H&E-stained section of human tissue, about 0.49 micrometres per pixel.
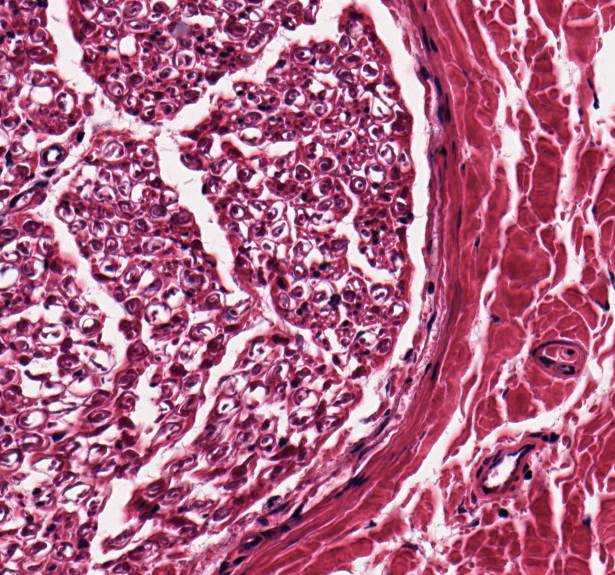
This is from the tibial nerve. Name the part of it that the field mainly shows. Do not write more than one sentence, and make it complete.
The tissue part in this image has the name nerve fascicle.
